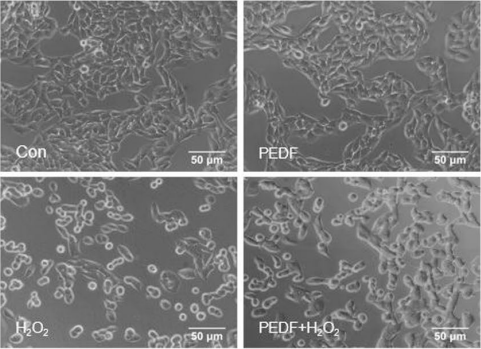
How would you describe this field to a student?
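Where they are dense, they touch one another end to end and form loose networks with open gaps between them. Far fewer cells are spread, and many have become rounded, bright-rimmed bodies that have lost most of their processes. This is the kind of rounding and retraction that cells show when they are damaged and beginning to detach.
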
